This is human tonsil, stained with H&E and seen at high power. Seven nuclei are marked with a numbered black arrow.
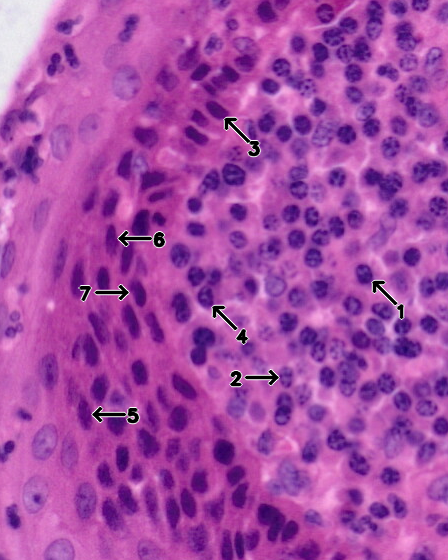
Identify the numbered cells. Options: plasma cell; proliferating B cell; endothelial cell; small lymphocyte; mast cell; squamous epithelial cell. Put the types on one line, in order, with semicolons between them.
plasma cell; plasma cell; squamous epithelial cell; plasma cell; squamous epithelial cell; squamous epithelial cell; squamous epithelial cell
